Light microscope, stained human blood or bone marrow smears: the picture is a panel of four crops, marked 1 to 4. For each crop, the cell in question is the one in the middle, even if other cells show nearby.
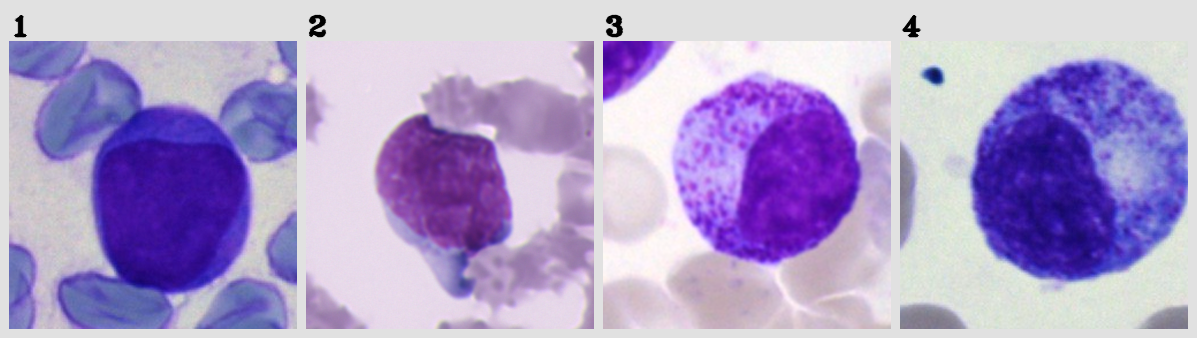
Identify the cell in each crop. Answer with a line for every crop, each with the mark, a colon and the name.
1: blast
2: blast
3: myelocyte
4: promyelocyte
